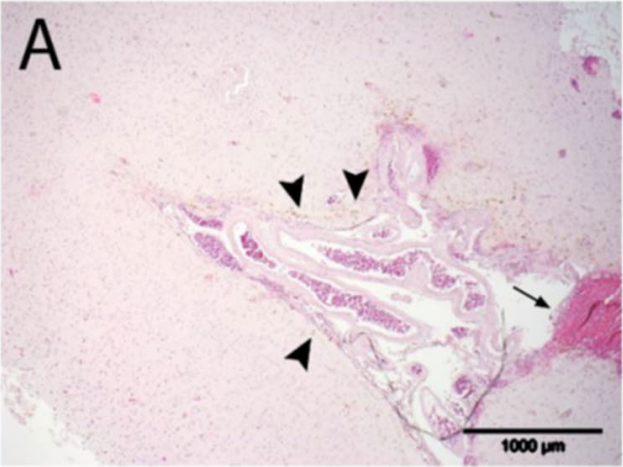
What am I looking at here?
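This is the surface of the cerebral cortex where a sulcus with its leptomeninges dips into the tissue. The cortex is a pale pink neuropil with small scattered nuclei. In the cleft lie thin-walled meningeal vessels filled with packed red blood cells, seen as dark pink-purple masses. At the right edge, outside the cortical surface, is a large bright red area of fresh blood lying freely in the meningeal space. Along the edges of the cleft, in the outermost cortical layer, the tissue looks slightly darker and granular, where pigment deposits sit.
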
